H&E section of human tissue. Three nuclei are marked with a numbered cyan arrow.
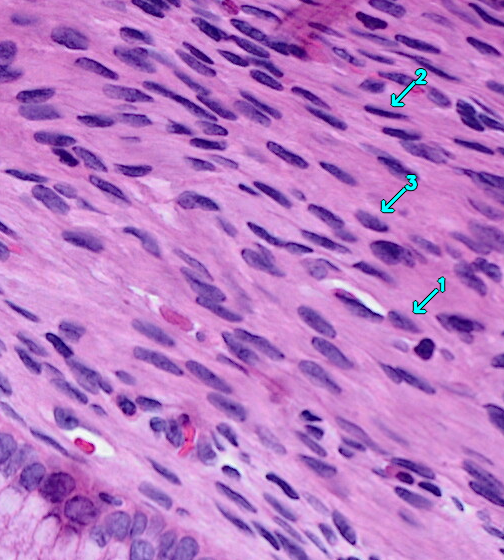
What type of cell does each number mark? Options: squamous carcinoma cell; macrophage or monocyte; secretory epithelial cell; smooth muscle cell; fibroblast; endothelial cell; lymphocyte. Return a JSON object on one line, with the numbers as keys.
{"1": "endothelial cell", "2": "fibroblast", "3": "fibroblast"}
